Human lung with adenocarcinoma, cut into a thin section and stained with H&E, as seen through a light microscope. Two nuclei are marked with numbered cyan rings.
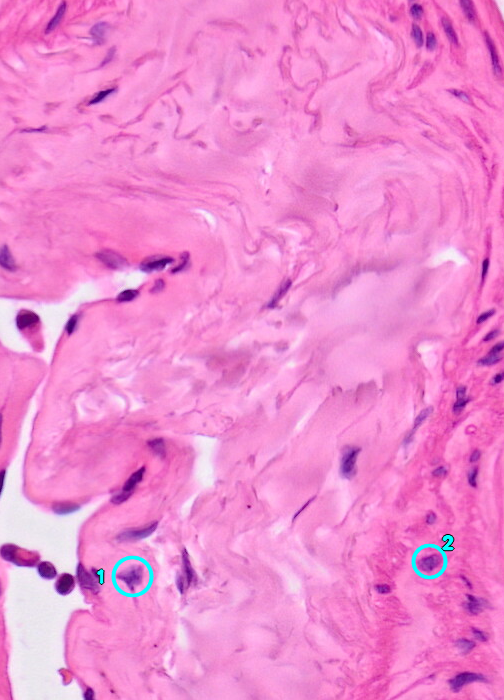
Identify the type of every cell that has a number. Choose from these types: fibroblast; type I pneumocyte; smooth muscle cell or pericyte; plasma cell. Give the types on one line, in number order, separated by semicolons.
fibroblast; smooth muscle cell or pericyte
